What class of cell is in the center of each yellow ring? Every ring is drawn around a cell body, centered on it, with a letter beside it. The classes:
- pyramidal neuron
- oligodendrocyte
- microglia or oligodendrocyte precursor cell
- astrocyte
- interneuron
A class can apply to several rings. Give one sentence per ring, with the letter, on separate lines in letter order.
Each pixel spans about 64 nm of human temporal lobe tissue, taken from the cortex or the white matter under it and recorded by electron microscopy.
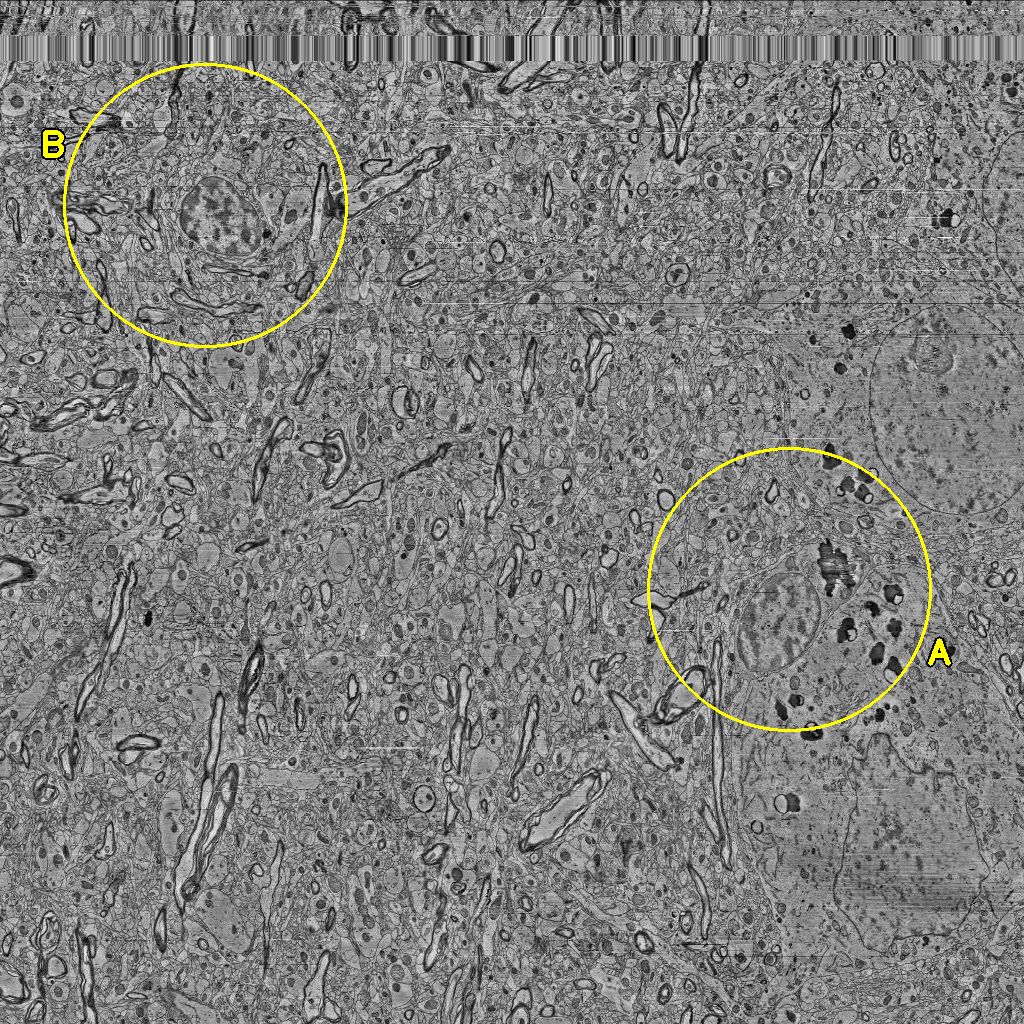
Ring A holds an oligodendrocyte at its center.
Ring B holds a microglial cell or oligodendrocyte precursor cell at its center.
